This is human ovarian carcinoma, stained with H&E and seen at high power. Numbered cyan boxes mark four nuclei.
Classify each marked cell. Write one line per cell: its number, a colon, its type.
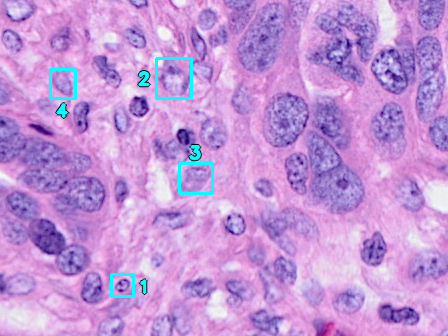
1: lymphocyte
2: fibroblast
3: fibroblast
4: fibroblast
